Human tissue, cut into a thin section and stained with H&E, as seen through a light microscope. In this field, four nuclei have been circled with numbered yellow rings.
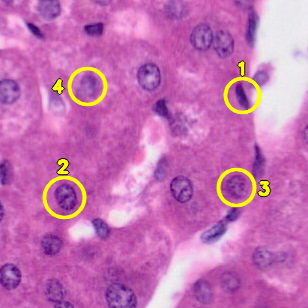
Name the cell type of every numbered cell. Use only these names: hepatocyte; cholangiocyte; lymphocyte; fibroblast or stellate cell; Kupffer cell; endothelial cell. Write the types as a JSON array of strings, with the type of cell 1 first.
["fibroblast or stellate cell", "hepatocyte", "hepatocyte", "hepatocyte"]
